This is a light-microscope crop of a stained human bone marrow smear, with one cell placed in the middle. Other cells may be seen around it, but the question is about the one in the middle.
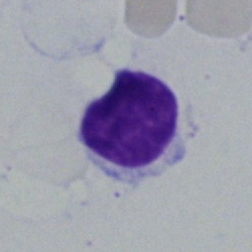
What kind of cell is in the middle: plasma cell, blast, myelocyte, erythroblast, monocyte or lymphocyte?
lymphocyte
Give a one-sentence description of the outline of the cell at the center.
This cell does not have a smooth edge; it is ragged or extended into projections.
